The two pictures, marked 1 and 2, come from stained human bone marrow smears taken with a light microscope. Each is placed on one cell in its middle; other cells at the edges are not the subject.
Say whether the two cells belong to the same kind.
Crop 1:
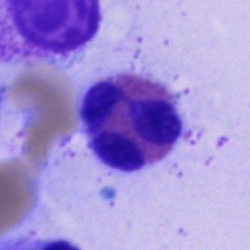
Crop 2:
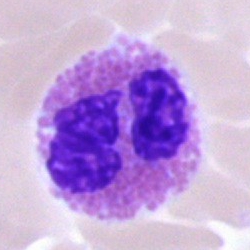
yes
